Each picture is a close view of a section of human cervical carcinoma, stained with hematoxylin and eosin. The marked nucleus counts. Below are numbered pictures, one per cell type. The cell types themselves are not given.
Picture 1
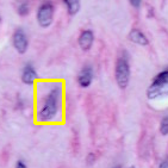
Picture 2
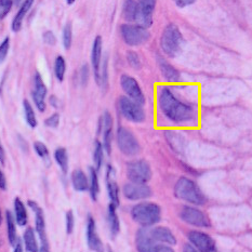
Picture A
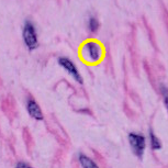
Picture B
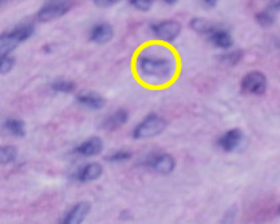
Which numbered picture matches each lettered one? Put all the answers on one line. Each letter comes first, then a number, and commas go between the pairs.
A 1, B 1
